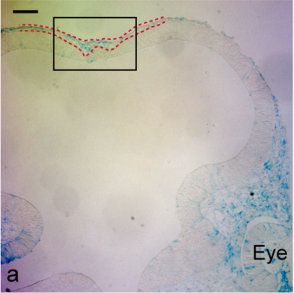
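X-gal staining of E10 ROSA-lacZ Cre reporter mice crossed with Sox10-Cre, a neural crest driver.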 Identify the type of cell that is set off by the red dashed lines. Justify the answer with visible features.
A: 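Mesenchymal cells. The red dashed lines enclose a thin band of loose tissue over the dorsal midline of the brain wall. Some blue-stained cells lie scattered in that band.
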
